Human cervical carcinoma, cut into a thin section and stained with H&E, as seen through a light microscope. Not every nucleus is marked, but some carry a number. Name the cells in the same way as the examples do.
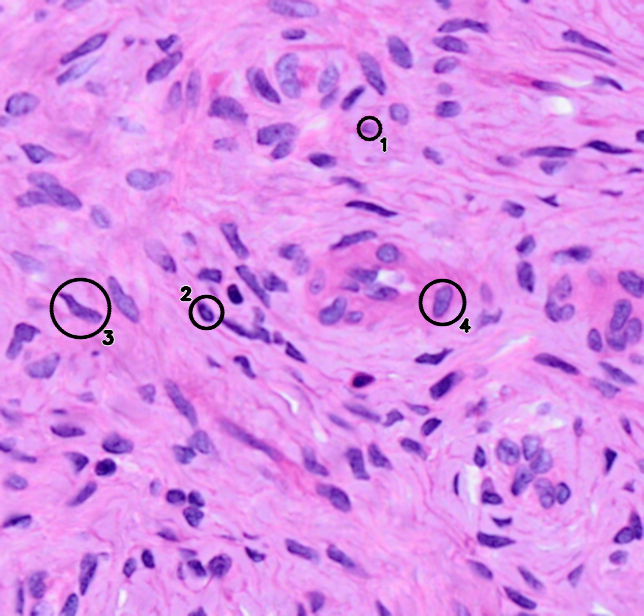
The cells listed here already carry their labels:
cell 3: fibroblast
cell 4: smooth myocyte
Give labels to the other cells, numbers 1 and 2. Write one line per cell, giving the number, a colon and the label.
1: smooth myocyte
2: fibroblast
